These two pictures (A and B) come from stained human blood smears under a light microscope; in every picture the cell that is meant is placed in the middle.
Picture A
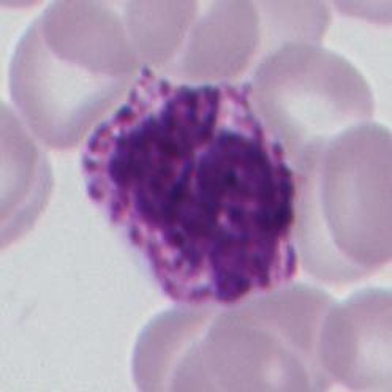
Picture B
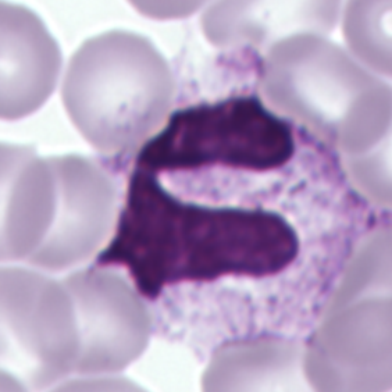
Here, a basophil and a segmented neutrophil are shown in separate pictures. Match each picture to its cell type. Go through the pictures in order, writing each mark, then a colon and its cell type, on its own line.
A: basophil
B: segmented neutrophil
